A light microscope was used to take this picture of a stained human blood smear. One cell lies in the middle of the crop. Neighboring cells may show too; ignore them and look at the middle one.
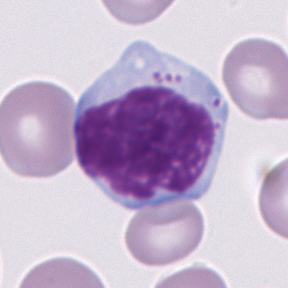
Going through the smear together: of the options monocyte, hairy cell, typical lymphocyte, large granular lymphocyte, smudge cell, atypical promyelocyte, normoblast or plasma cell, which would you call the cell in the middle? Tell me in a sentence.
The cell of interest, located centrally, is a large granular lymphocyte.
